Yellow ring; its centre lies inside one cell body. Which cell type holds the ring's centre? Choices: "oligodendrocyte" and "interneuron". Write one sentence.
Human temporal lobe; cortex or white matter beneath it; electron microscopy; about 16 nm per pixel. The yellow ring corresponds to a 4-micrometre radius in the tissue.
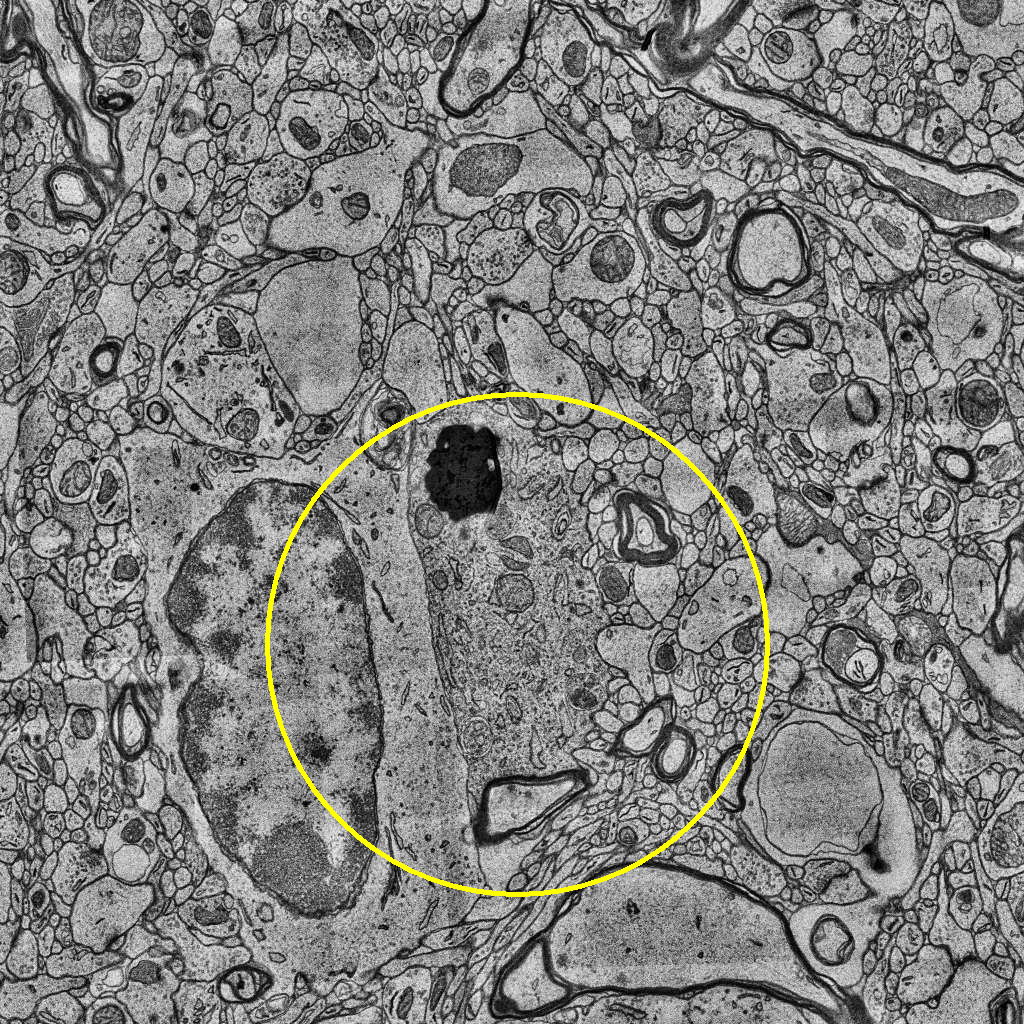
At the centre of the ring sits an oligodendrocyte.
